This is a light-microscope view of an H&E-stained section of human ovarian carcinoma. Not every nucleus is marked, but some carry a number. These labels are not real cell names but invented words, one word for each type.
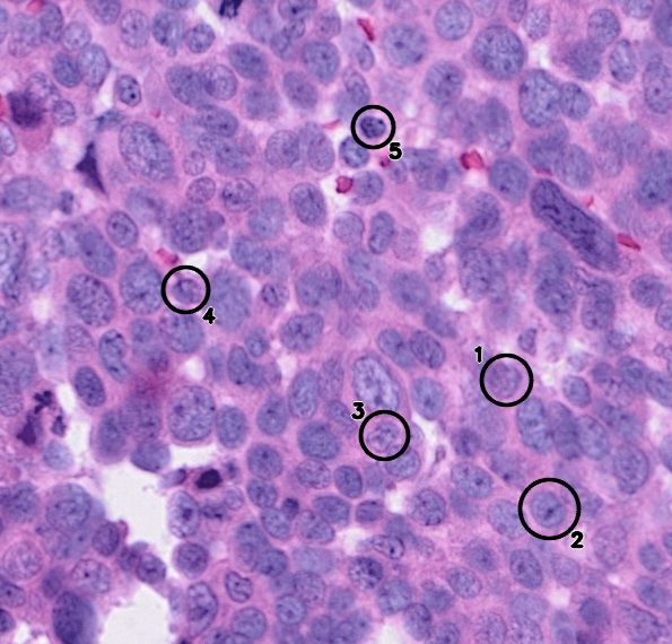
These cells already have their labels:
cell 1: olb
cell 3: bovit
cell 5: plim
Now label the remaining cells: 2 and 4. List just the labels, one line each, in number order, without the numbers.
olb
bovit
